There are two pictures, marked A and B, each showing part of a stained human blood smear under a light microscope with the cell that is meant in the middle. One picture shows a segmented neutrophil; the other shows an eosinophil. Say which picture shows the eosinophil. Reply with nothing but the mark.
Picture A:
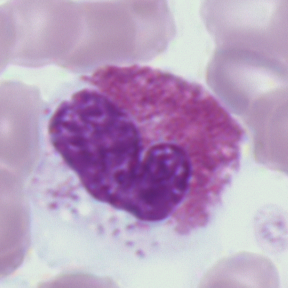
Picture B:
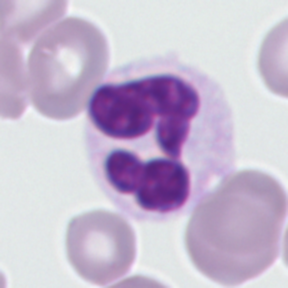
A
